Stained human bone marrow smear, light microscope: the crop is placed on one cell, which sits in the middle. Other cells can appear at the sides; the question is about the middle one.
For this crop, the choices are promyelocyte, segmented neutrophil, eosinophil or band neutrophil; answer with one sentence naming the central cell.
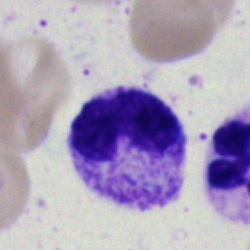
What sits at the centre of this crop is a band neutrophil.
